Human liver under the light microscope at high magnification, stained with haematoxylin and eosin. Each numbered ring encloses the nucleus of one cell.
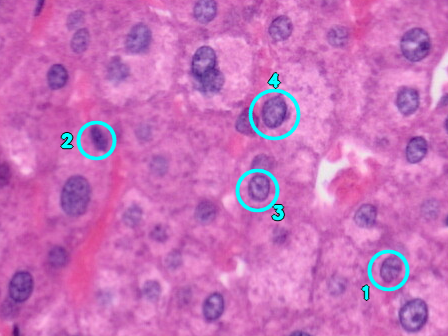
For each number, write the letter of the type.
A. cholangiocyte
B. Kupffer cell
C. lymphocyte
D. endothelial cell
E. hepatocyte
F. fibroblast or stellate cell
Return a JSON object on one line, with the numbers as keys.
{"1": "E", "2": "F", "3": "E", "4": "E"}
